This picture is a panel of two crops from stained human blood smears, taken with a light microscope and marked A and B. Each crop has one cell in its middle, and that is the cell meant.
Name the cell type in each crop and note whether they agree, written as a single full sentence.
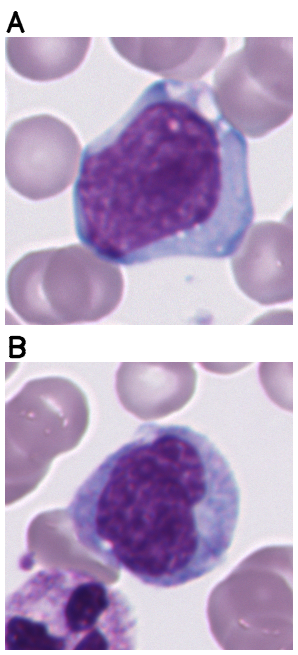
No, the cell in crop A is a blast and the one in crop B is a monocyte.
